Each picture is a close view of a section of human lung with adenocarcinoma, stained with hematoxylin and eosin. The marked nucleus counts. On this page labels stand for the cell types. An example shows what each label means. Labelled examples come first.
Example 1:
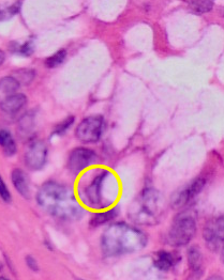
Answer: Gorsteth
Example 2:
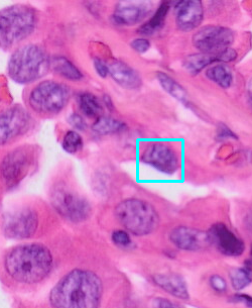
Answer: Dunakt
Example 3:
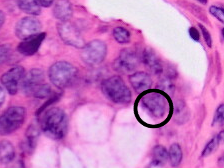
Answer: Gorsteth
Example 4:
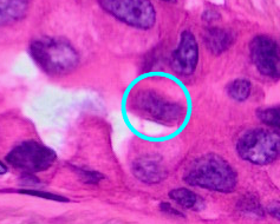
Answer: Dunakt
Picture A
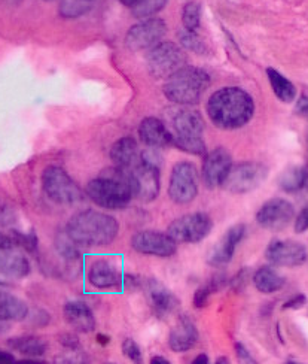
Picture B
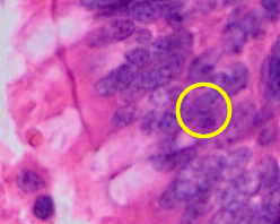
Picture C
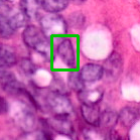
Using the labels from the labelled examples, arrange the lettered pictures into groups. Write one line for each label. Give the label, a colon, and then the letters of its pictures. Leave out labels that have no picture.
Gorsteth: A, B, C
